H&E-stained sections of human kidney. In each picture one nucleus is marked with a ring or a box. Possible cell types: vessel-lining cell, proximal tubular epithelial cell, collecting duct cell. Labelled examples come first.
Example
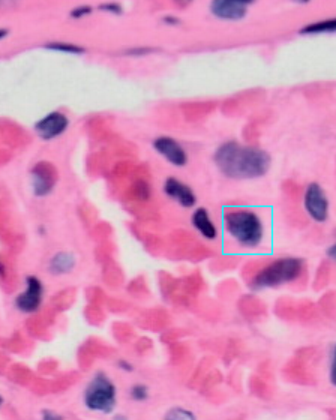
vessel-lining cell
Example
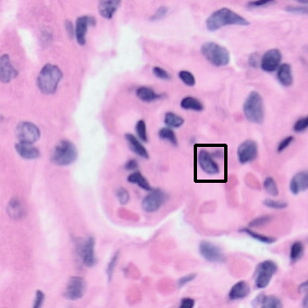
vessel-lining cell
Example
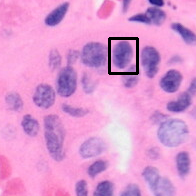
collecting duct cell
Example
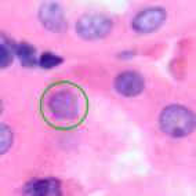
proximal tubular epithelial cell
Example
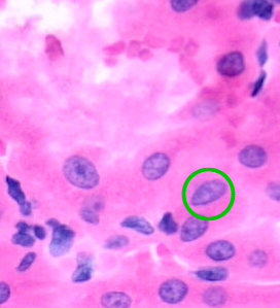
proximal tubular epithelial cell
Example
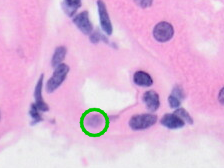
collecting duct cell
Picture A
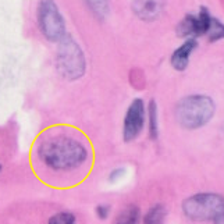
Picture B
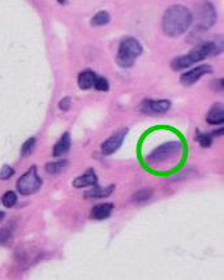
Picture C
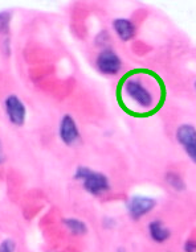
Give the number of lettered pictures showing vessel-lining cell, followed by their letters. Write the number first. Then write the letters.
2: B, C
